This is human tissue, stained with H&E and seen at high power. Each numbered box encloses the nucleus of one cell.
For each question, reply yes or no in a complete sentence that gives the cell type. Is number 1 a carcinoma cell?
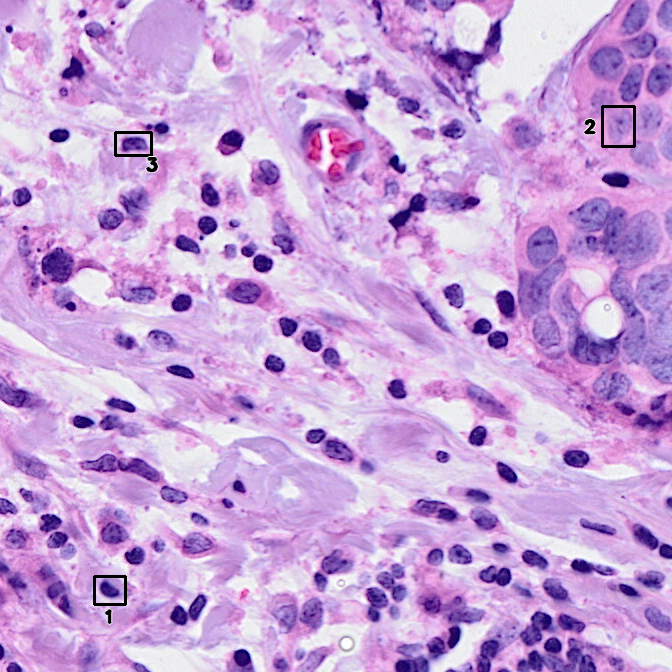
No, the cell referred to as 1 is a lymphocyte, not a carcinoma cell.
